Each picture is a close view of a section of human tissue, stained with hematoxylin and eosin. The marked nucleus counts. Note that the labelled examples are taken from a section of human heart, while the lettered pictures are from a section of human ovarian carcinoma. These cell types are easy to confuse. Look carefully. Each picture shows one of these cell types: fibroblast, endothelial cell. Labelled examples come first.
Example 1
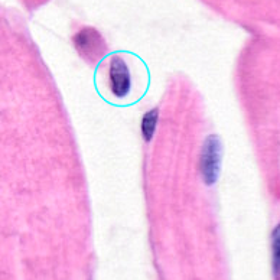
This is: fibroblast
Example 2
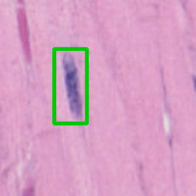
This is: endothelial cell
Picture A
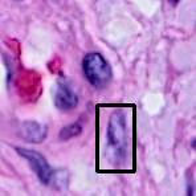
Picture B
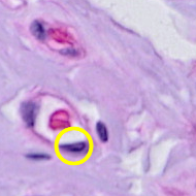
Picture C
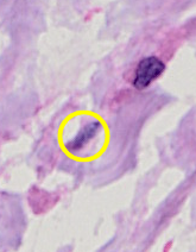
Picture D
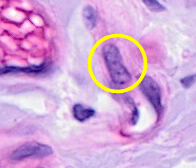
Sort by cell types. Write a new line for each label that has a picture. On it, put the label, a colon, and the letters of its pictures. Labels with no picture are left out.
fibroblast: A, C
endothelial cell: B, D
